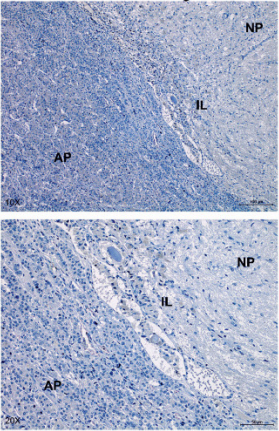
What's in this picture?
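This section of pituitary shows the boundary between the glandular anterior lobe and the nervous posterior lobe, with the intermediate zone between them. At lower left the anterior lobe is densely cellular, with closely packed blue nuclei of glandular cells arranged in cords and nests. At upper right the posterior lobe is a pale, loosely fibrous tissue with only scattered nuclei. Apart from the blue nuclear counterstain the tissue is unstained.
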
